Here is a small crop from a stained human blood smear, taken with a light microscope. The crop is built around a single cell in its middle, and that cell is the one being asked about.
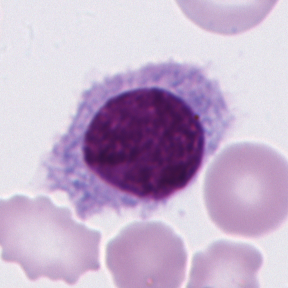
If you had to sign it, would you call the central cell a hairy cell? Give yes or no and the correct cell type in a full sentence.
Yes, the cell under consideration, the one in the middle, is a hairy cell.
